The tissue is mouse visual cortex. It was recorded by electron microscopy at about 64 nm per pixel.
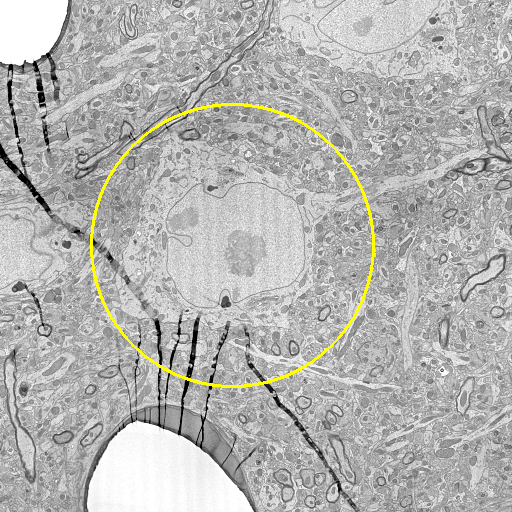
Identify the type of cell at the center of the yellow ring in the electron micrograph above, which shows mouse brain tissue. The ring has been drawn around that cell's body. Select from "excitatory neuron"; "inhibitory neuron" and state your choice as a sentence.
The yellow ring is centered on the body of an excitatory neuron.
